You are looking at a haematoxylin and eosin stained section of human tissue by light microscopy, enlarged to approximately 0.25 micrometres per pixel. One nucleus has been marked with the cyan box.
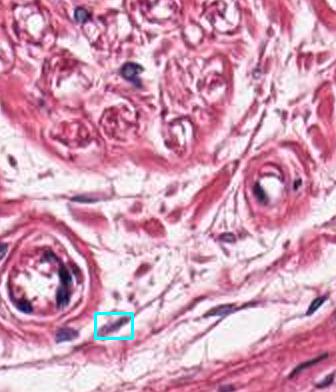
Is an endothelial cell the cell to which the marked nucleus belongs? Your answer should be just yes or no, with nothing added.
no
